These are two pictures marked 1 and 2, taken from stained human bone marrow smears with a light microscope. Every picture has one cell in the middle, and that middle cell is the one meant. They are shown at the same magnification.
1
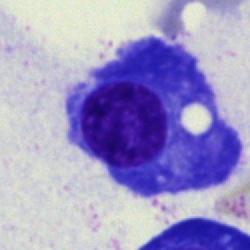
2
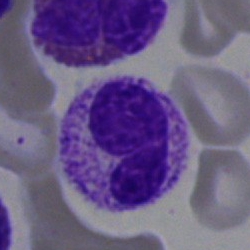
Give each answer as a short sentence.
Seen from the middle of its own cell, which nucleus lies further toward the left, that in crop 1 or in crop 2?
It is the nucleus in crop 1 that lies further toward the left of its cell.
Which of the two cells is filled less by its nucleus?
In crop 1 the nucleus takes up the smaller part of its cell.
